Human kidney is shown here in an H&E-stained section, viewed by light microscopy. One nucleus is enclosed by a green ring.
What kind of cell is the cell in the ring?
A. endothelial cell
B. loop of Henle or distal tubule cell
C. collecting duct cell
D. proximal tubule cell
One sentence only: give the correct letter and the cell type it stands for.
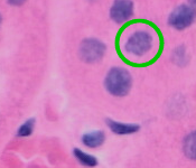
It is option B that correctly calls the cell in the ring a loop of Henle or distal tubule cell.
